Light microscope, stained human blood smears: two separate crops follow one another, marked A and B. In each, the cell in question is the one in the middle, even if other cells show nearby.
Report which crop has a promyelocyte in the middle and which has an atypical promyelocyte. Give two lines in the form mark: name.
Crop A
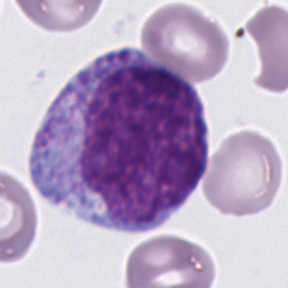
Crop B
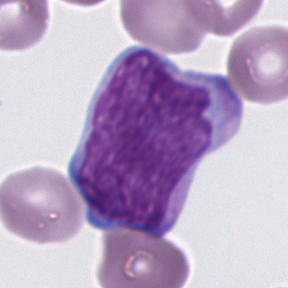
A: promyelocyte
B: atypical promyelocyte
